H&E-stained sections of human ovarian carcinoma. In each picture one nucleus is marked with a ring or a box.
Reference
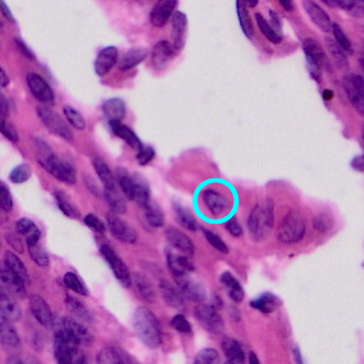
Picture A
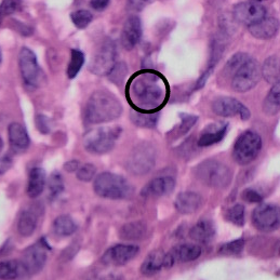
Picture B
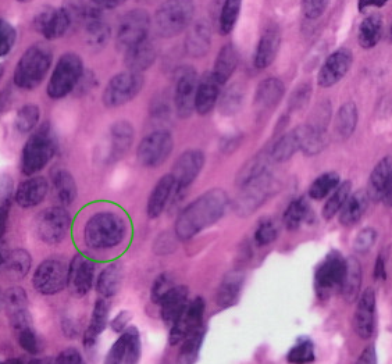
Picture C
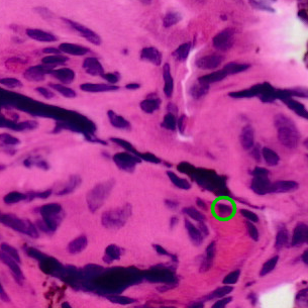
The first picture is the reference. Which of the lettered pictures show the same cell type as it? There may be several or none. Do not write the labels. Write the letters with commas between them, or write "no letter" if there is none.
C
